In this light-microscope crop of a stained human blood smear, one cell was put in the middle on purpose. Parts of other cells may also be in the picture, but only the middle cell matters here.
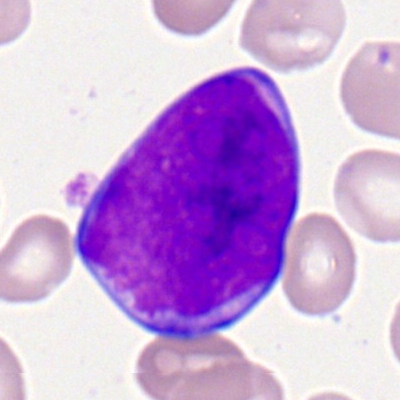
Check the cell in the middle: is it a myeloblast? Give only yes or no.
yes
